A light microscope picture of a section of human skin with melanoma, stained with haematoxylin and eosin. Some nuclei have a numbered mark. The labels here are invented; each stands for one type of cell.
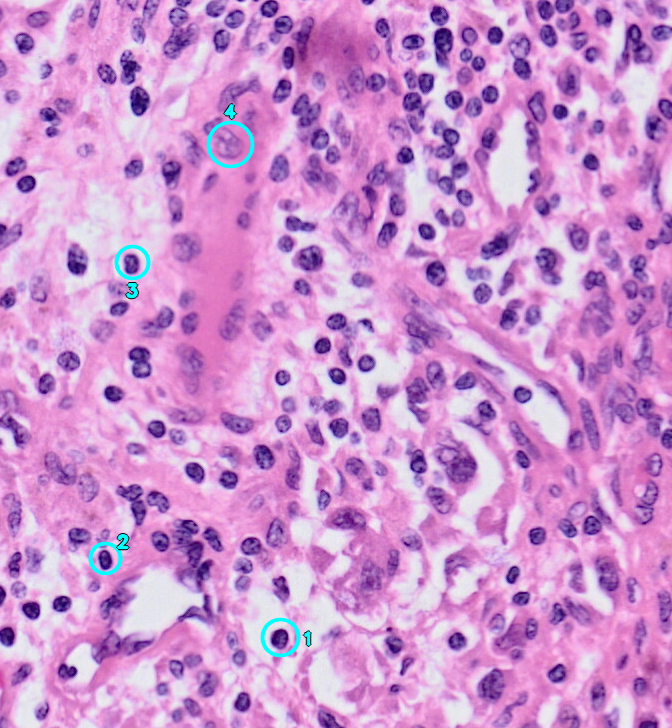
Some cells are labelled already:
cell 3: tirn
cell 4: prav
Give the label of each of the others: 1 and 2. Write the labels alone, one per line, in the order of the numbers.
tirn
tirn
